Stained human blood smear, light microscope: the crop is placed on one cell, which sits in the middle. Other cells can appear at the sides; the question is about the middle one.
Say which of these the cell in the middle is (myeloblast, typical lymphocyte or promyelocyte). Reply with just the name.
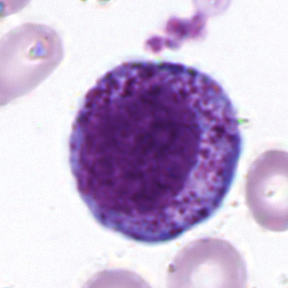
promyelocyte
